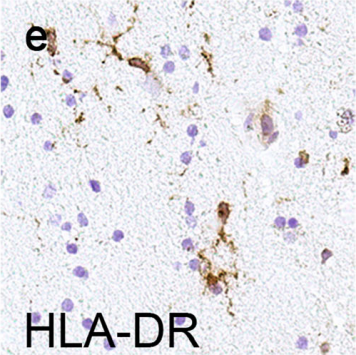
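Ramified microglia appear as small brown cells scattered in the neural tissue, with slender, irregular processes branching from small cell bodies. The processes are thin and beaded rather than thick. Many round to oval blue nuclei of unstained cells lie between them in a pale background.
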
